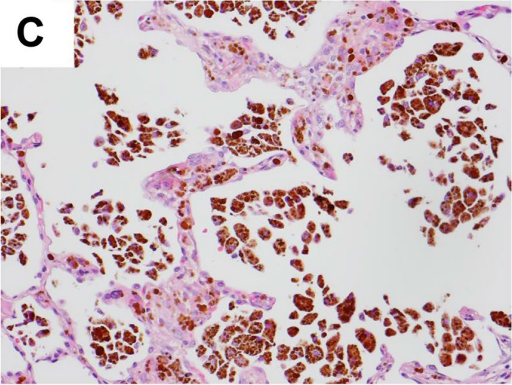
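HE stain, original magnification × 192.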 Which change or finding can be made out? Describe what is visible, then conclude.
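Mild thickening of the alveolar walls. Alveolar septa are wider and more cellular than thin normal septa. Some brown pigment lies within the septal walls.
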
